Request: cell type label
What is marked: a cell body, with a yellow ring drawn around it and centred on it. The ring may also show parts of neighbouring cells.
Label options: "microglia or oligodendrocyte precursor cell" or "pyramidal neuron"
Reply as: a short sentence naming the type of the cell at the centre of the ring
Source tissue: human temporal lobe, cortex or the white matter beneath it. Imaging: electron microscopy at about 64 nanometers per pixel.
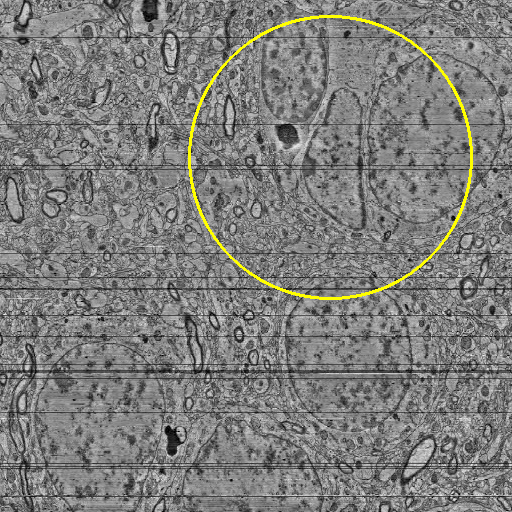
The marked cell body is that of a microglial cell or oligodendrocyte precursor cell.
